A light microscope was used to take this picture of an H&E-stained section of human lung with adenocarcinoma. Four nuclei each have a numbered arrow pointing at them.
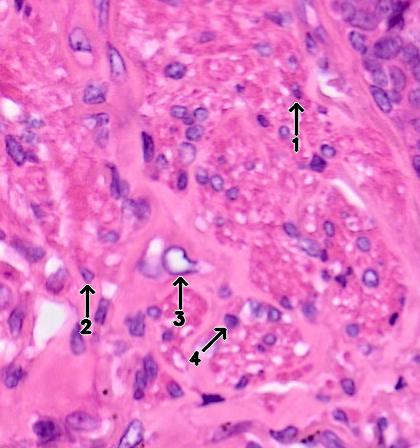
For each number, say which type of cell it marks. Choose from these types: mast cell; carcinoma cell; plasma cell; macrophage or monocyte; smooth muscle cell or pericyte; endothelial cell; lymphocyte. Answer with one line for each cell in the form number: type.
1: smooth muscle cell or pericyte
2: smooth muscle cell or pericyte
3: endothelial cell
4: smooth muscle cell or pericyte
